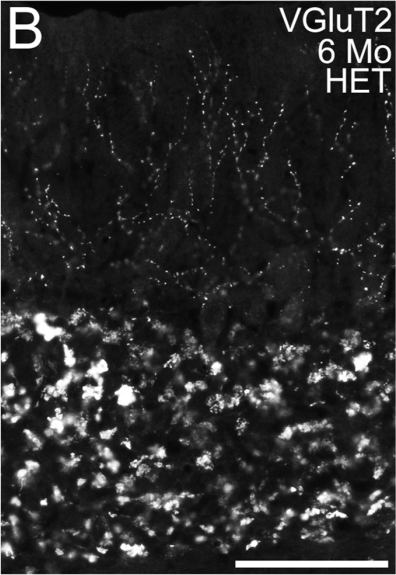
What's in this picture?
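This is a section of cerebellar cortex with two clearly different zones of bright labelling on a dark background. Just below, at the level of the Purkinje cell layer, the beaded strings give way abruptly to dense labelling. The inner zone, the granule cell layer, is packed with large, irregular, rosette-like bright clusters, the synaptic glomeruli, separated by dark gaps where cell bodies sit. The outer zone itself is otherwise dim and shows few cell bodies.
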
